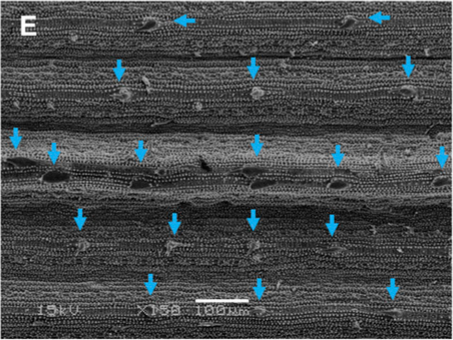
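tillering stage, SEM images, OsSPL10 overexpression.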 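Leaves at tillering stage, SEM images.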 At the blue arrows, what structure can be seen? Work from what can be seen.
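The arrows point to many raised outgrowths on the leaf surface. The outgrowths are aligned along the longitudinal cell rows. The answer: macrohairs.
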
